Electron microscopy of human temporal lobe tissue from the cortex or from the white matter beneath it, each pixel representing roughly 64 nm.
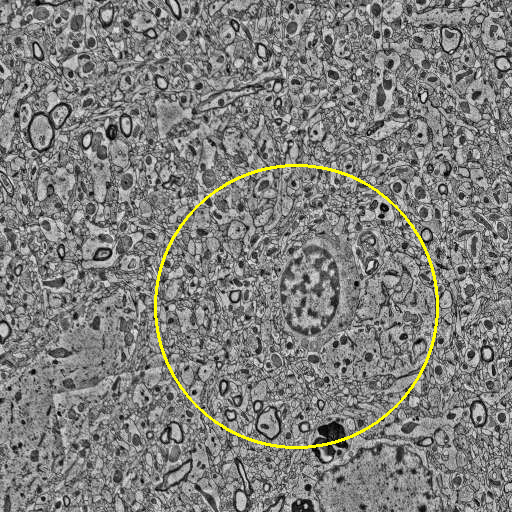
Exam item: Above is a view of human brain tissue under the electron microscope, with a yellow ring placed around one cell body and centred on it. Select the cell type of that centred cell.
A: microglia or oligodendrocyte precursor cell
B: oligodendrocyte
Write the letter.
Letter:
B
